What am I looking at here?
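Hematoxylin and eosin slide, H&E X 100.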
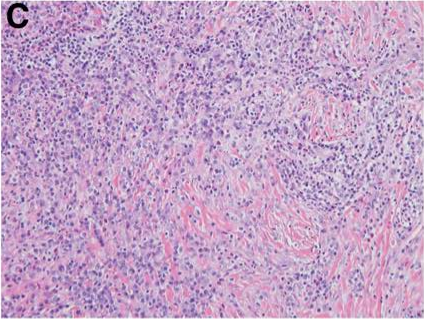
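A dense mixed inflammatory infiltrate is set among bundles of fibrous tissue. The infiltrate consists of many small round cells with dark purple nuclei, crowded into sheets that fill most of the field. Some cells have more cytoplasm, which is pale pink. Wavy, bright pink collagen bundles run through the infiltrate, especially on the right and toward the bottom, and divide it into irregular zones. The cells are packed most densely at the upper left. No normal glandular or epithelial structures are seen within the field.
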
